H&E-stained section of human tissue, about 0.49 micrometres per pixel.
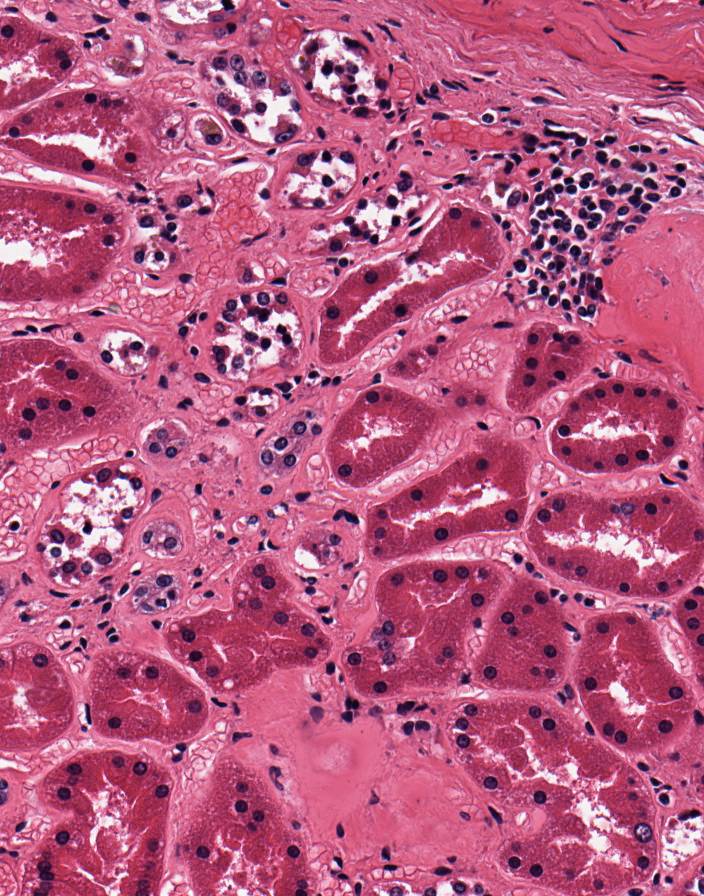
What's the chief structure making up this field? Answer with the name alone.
cortical labyrinth of the kidney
